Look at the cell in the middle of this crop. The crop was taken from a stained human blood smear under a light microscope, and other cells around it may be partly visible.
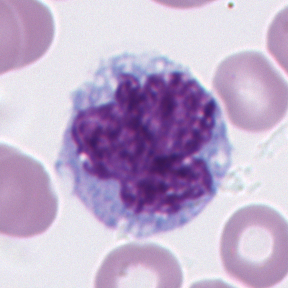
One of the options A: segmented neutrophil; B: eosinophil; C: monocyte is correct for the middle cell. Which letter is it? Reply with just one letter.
C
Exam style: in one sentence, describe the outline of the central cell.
Irregularity marks the cell border, whether as raggedness or as projections.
